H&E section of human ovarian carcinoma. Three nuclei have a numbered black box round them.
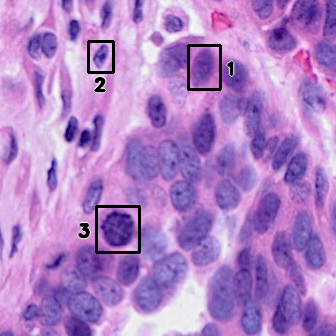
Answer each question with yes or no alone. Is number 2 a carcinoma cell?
no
